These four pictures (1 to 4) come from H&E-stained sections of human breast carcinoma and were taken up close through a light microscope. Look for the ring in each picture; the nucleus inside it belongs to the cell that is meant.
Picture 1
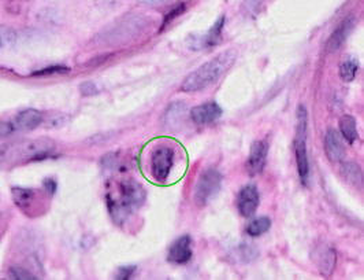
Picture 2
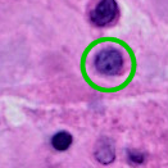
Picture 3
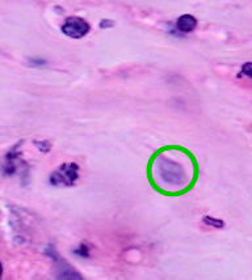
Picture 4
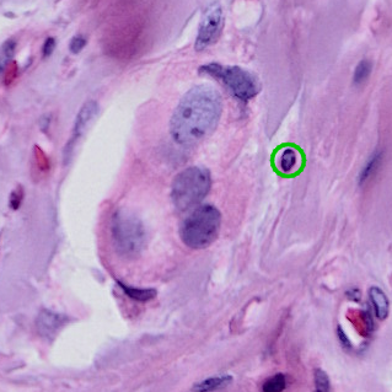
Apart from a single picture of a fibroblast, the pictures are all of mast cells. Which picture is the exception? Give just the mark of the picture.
3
